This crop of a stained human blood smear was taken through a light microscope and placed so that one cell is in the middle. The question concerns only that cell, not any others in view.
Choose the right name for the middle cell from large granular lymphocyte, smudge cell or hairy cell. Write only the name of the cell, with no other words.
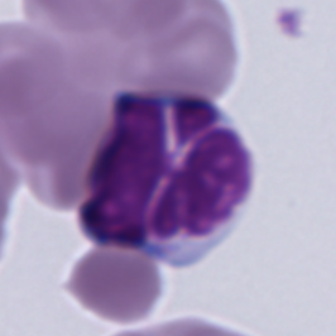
large granular lymphocyte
